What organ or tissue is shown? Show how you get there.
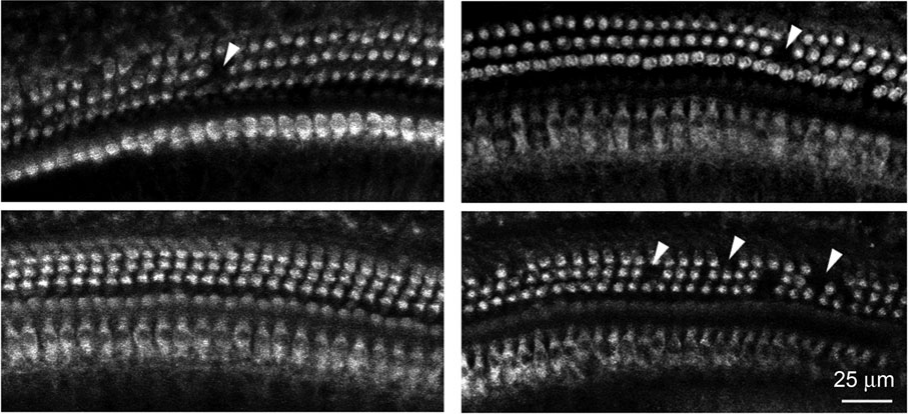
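Three rows of small regularly spaced labelled cells above a single row of larger labelled cells. The rows follow a curved band.
Conclusion: organ of Corti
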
